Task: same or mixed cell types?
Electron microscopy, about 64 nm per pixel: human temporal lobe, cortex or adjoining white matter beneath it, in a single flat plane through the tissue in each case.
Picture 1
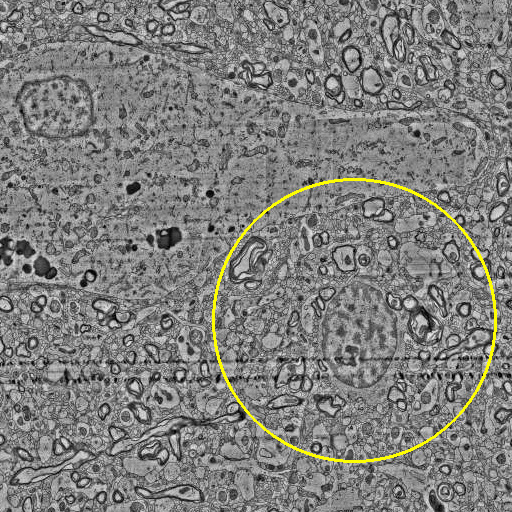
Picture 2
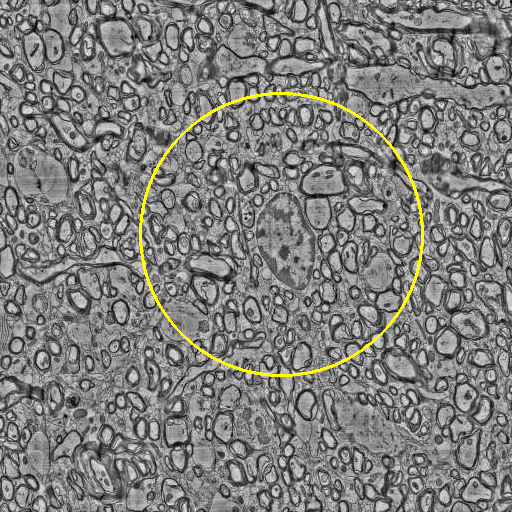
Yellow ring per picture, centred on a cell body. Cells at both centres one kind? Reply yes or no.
no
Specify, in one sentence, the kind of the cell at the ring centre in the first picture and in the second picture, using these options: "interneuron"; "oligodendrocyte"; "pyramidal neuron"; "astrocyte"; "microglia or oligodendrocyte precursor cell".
So the first is an oligodendrocyte, the second a microglial cell or oligodendrocyte precursor cell.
